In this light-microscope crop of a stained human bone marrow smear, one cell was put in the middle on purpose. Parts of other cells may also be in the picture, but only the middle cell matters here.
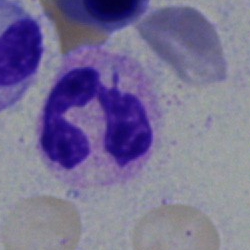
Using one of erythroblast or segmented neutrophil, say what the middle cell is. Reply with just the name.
segmented neutrophil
